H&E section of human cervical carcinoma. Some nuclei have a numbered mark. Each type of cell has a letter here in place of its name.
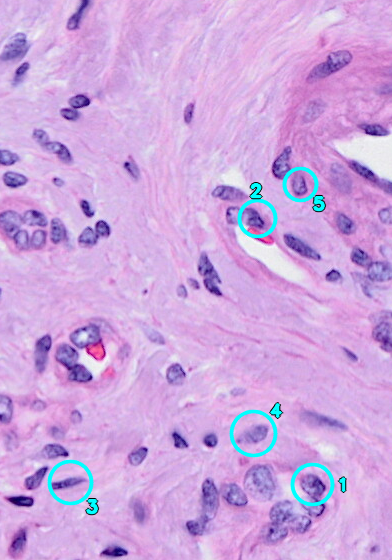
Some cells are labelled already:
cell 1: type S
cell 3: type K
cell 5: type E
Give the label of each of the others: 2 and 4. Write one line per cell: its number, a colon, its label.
2: type S
4: type K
